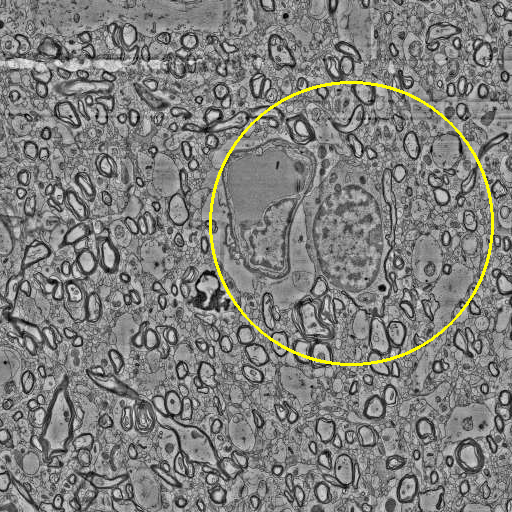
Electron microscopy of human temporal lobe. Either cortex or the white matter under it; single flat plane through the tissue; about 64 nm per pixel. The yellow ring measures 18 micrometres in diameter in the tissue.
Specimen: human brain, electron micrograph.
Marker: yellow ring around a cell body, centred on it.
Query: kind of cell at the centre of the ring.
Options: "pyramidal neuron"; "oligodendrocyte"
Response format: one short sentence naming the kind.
This cell body belongs to an oligodendrocyte.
